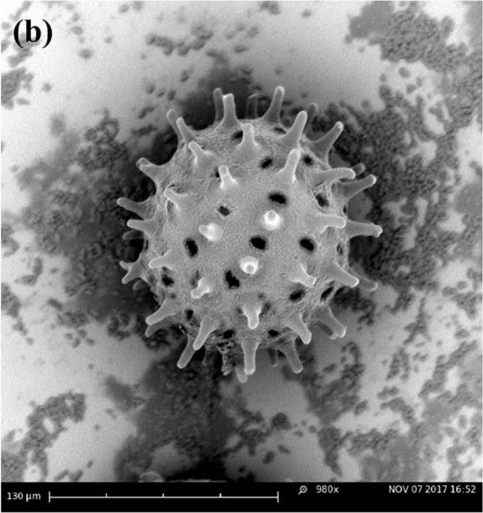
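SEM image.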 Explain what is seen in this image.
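A single spherical grain sits at the center on a flat substrate strewn with fine granular debris. Its surface is densely set with conical spines that taper to blunt tips and project outward all around the outline. The wall between spines looks finely textured rather than smooth. Together this spiny, porous sphere is a pollen grain seen by its outer wall.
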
